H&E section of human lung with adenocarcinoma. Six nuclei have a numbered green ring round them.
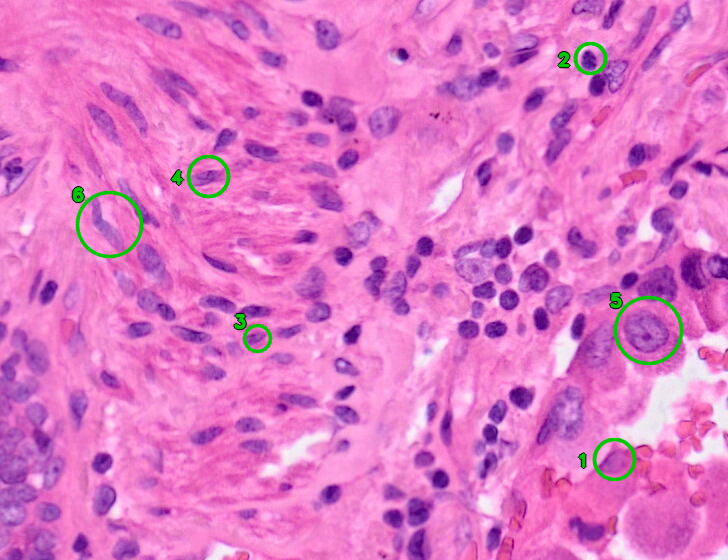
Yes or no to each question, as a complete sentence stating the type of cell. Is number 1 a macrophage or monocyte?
Yes, the cell labelled with number 1 is a macrophage or monocyte.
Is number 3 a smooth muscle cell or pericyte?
Yes, the one with the number 3 is a smooth muscle cell or pericyte.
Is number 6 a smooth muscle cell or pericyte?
Yes, the cell sitting at number 6 is a smooth muscle cell or pericyte.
